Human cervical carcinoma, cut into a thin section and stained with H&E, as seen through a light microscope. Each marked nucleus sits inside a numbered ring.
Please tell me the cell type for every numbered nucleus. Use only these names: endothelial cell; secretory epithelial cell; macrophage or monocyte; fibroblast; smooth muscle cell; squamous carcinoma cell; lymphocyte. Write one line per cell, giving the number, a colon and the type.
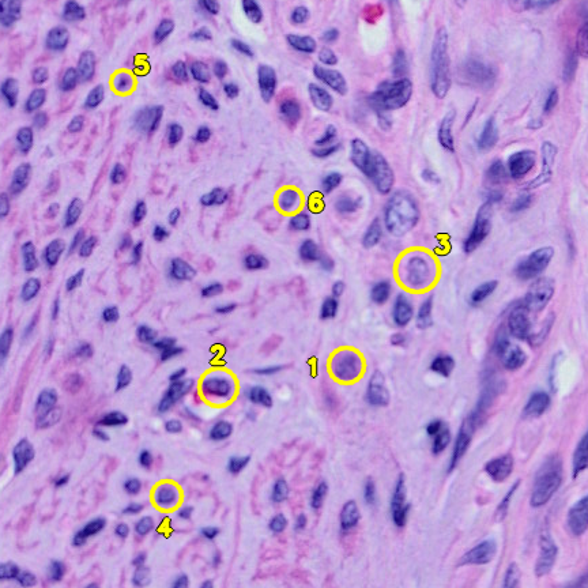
1: smooth muscle cell
2: endothelial cell
3: endothelial cell
4: smooth muscle cell
5: smooth muscle cell
6: smooth muscle cell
